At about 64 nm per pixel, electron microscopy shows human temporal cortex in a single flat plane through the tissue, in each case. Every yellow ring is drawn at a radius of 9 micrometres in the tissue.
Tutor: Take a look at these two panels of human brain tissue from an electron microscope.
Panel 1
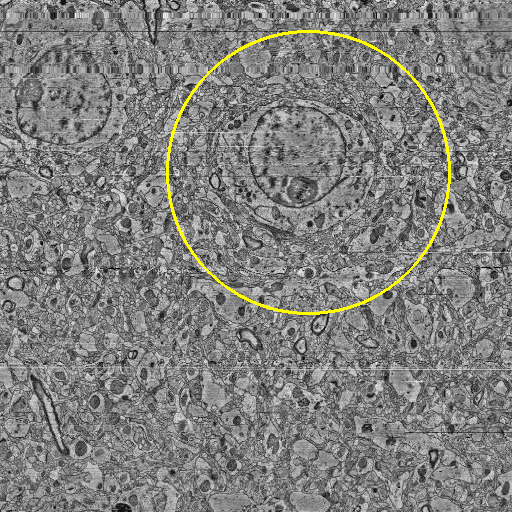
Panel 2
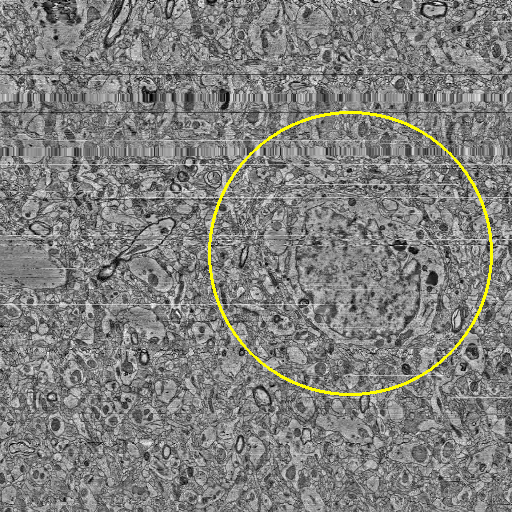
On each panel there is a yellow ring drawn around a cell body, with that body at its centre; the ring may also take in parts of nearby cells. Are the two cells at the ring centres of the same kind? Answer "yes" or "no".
no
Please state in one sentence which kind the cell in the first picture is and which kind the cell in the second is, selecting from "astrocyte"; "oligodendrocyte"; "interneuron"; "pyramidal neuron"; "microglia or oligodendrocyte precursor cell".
The first ringed cell is a pyramidal neuron, the second ringed cell an interneuron.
